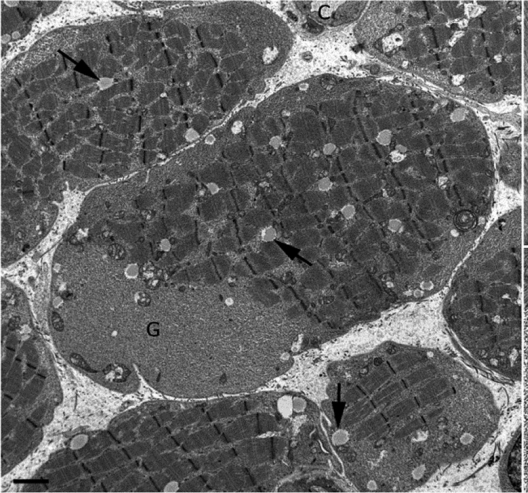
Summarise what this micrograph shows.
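Several fibres cut in cross or oblique section are packed with myofibrils showing regular dark banding, separated by pale interstitial space. Many small round pale homogeneous droplets are scattered between the myofibrils, singly and without internal structure. One large fibre holds an extensive region free of myofibrils that is filled with fine dark granular material. Small mitochondrial profiles, some with concentric membranes, lie among the myofibrils. Only a single small vessel profile is seen in the interstitium at the top.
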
